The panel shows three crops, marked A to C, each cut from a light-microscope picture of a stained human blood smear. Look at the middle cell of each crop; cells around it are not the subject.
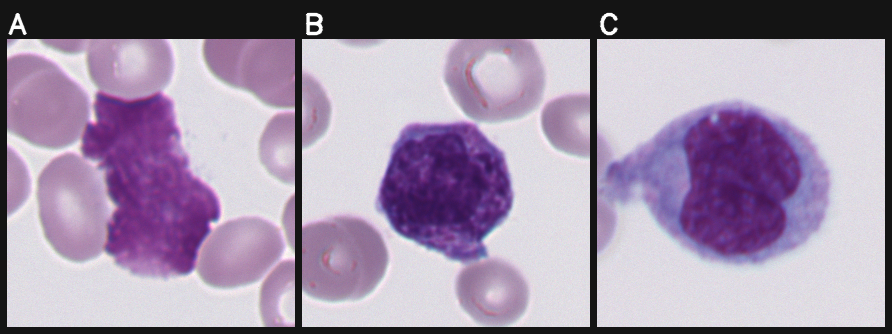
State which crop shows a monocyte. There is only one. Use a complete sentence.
Here the crop that shows a monocyte is crop C.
